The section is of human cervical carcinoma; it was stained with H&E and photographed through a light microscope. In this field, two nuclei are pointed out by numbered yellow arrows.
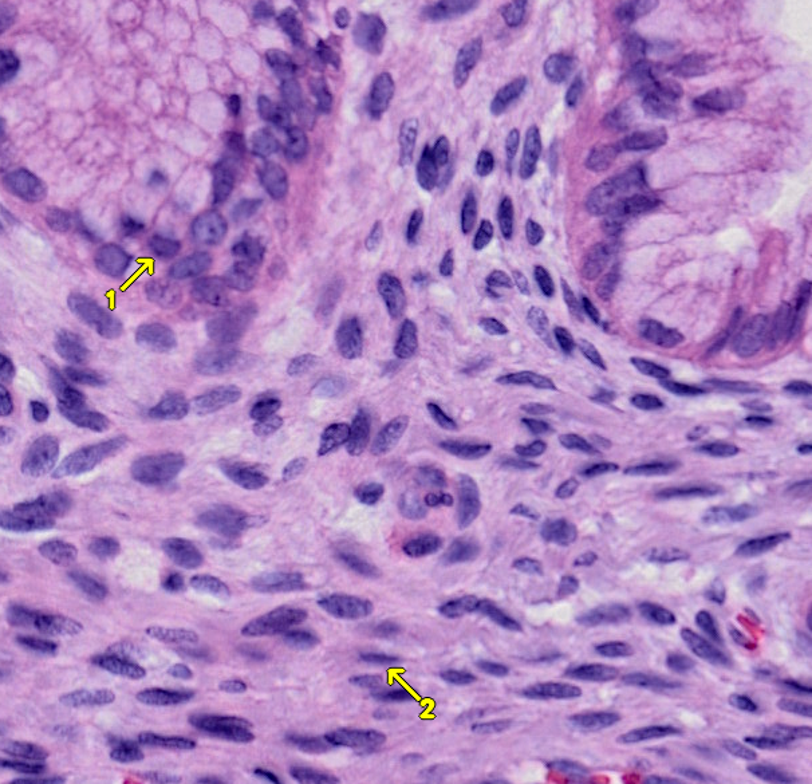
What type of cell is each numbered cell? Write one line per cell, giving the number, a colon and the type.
1: secretory epithelial cell
2: fibroblast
